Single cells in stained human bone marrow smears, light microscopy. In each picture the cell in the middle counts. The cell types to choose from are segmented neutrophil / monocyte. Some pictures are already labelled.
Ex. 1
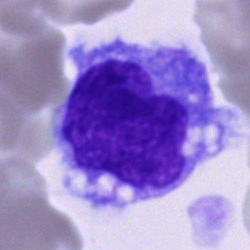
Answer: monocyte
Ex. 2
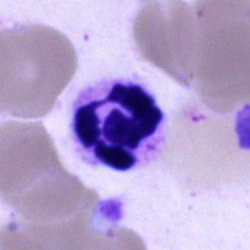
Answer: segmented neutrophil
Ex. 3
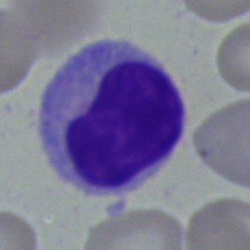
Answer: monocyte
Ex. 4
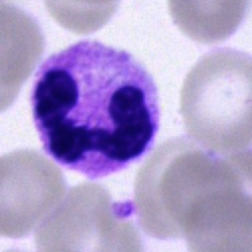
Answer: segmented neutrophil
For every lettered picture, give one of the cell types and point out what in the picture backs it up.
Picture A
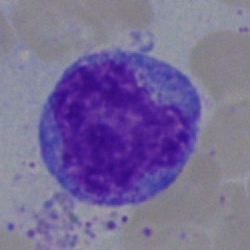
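monocyte. The cytoplasm forms a narrow blue rim around the nucleus.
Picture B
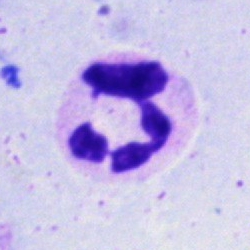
segmented neutrophil. The cytoplasm is plentiful and pale pink.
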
